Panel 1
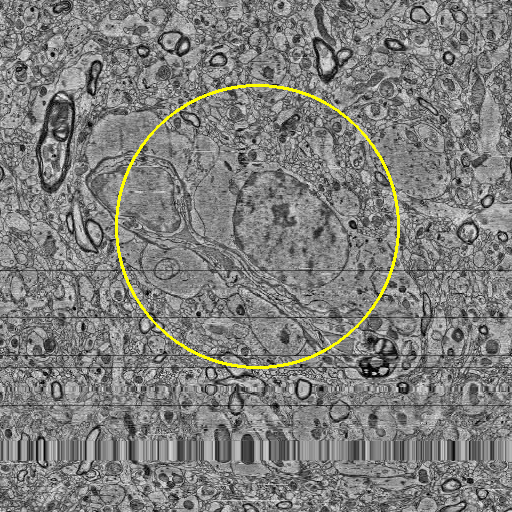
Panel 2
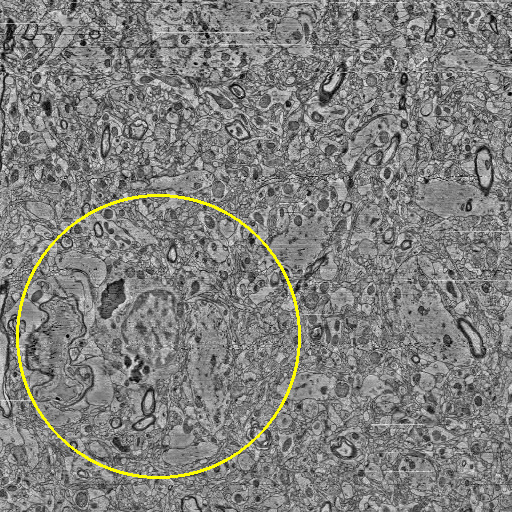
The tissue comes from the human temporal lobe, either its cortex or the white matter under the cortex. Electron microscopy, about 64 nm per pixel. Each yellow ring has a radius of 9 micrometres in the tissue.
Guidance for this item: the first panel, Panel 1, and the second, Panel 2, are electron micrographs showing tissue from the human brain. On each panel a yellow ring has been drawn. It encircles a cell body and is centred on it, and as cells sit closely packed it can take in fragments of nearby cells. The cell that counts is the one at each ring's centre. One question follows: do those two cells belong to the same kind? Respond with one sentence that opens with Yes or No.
No, the cells at the ring centres in Panel 1 and Panel 2 are of two kinds.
